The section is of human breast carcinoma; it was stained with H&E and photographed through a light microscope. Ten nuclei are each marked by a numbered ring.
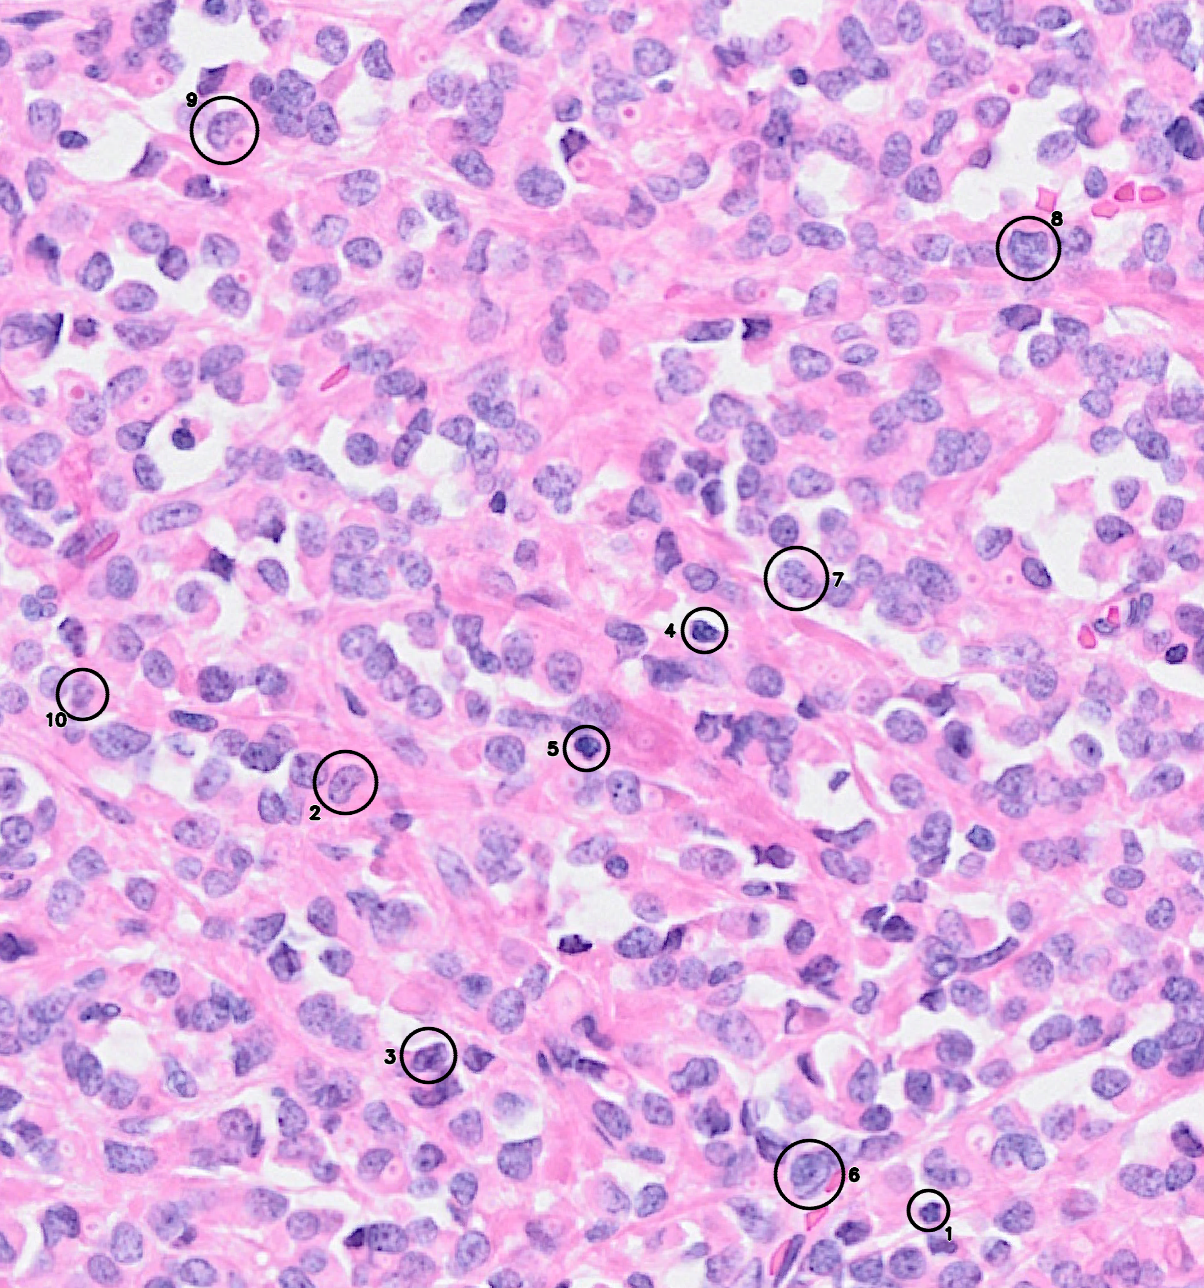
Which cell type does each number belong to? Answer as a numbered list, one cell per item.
1. lymphocyte
2. carcinoma cell
3. carcinoma cell
4. lymphocyte
5. lymphocyte
6. endothelial cell
7. carcinoma cell
8. carcinoma cell
9. carcinoma cell
10. carcinoma cell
